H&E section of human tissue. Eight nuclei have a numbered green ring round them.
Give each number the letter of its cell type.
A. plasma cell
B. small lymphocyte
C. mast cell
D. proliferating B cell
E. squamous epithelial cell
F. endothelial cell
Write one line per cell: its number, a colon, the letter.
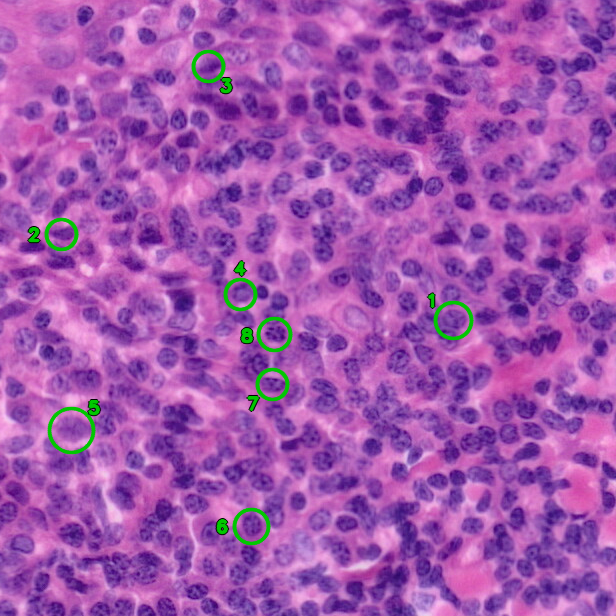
1: A
2: E
3: E
4: A
5: E
6: A
7: A
8: A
